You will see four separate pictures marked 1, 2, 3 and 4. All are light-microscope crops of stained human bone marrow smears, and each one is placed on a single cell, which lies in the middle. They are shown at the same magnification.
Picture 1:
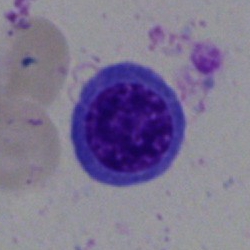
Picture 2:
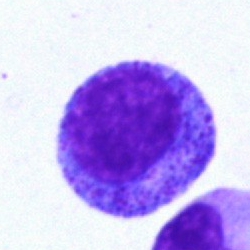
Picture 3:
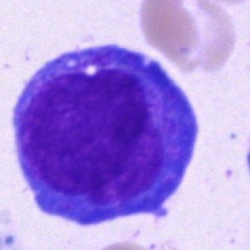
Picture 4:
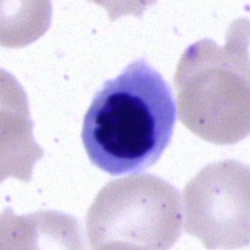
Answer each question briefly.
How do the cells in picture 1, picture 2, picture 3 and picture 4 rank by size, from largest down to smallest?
3, 2, 1, 4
